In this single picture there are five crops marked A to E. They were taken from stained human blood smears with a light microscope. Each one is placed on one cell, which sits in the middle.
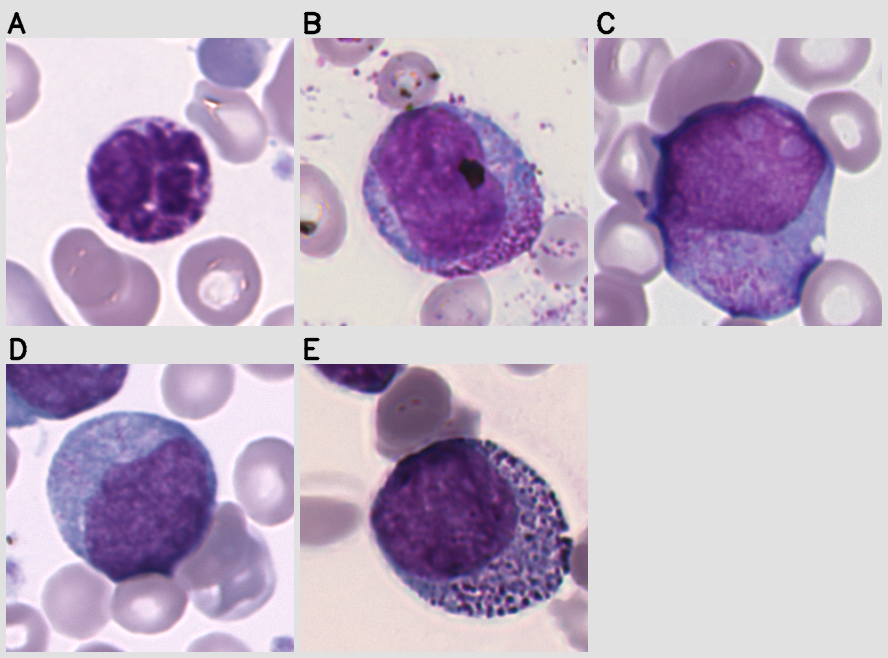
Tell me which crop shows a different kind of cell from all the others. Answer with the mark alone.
A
